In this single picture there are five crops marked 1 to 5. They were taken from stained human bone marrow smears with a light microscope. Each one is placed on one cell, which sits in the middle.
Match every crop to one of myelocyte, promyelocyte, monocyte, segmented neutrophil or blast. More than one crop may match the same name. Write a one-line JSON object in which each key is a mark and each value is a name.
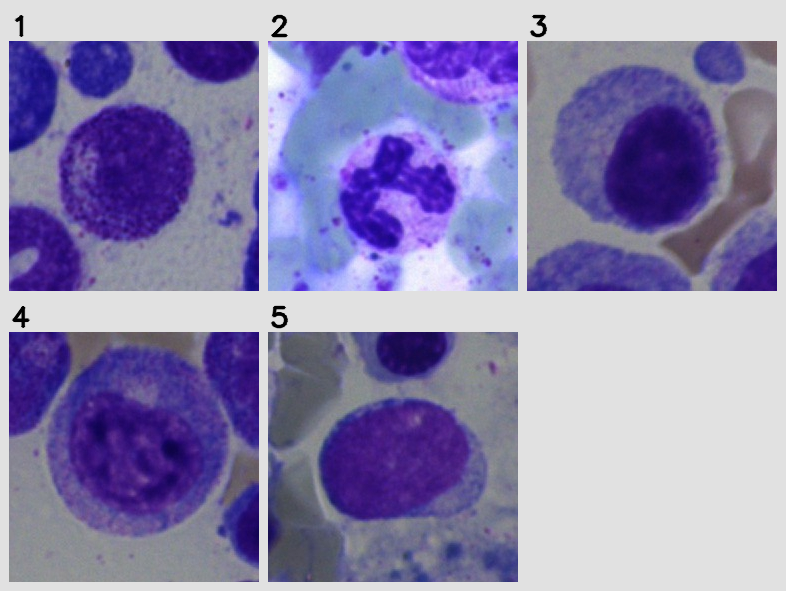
{"1": "myelocyte", "2": "segmented neutrophil", "3": "myelocyte", "4": "promyelocyte", "5": "blast"}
